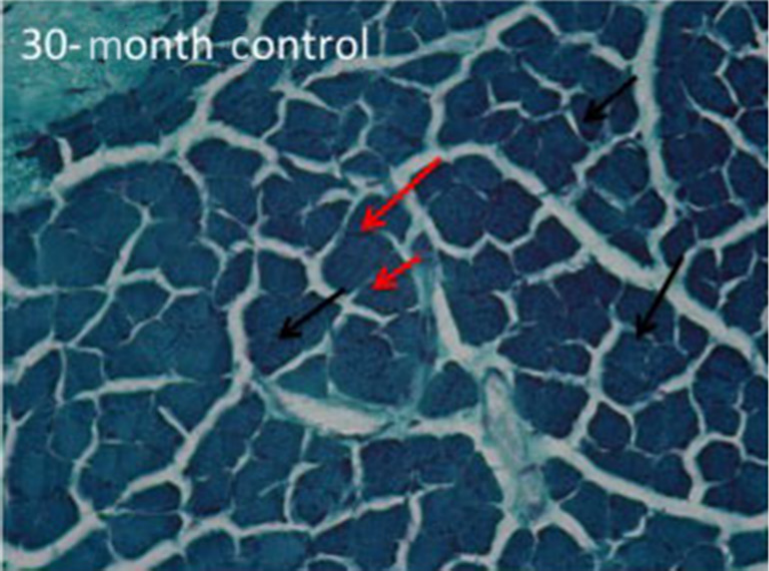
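This is a cross-section of skeletal muscle in which the fibers are cut transversely and appear as closely packed polygonal profiles stained dark blue. The fibers are grouped into fascicles separated by pale, wide bands of connective tissue that branch through the field. Near the middle, a pale elongated structure lies within the connective tissue between fascicles.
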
